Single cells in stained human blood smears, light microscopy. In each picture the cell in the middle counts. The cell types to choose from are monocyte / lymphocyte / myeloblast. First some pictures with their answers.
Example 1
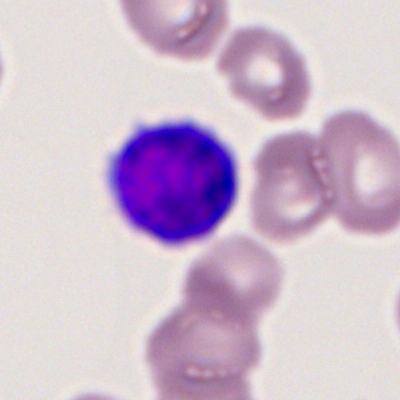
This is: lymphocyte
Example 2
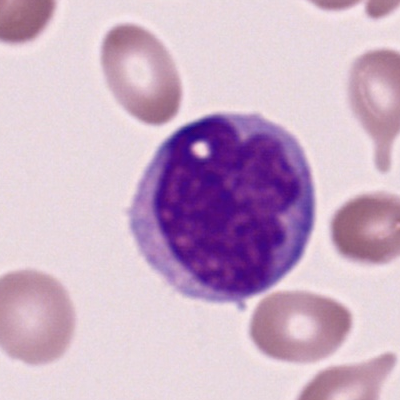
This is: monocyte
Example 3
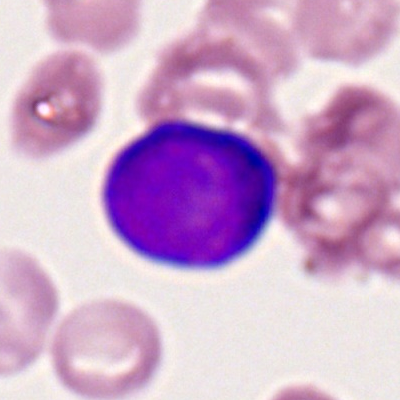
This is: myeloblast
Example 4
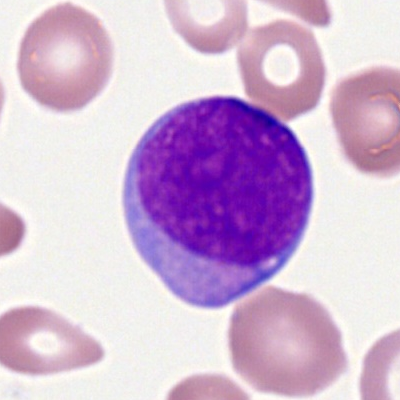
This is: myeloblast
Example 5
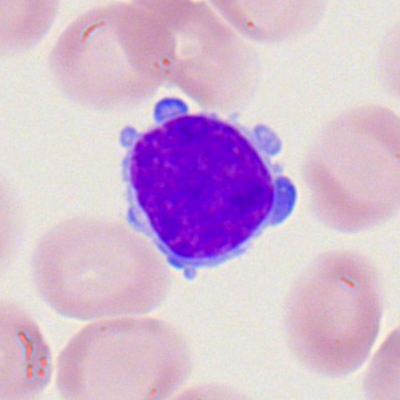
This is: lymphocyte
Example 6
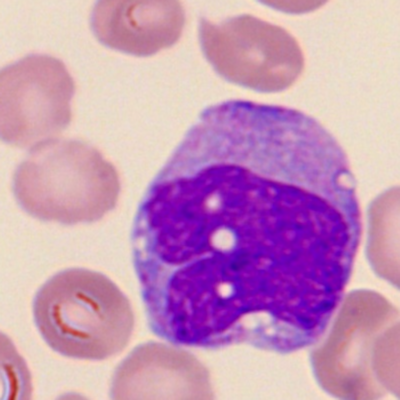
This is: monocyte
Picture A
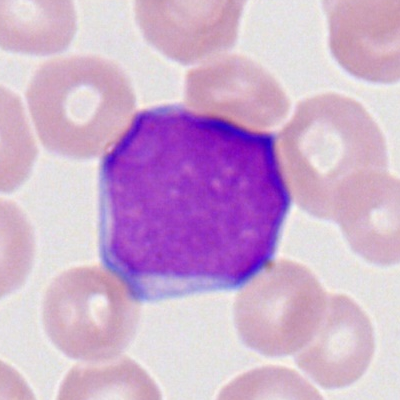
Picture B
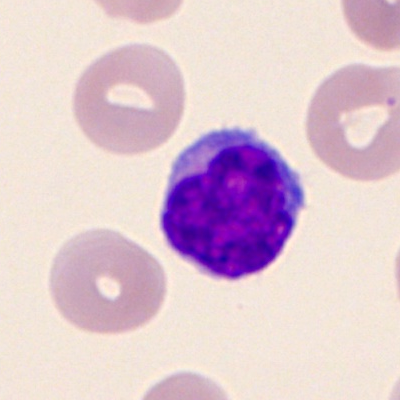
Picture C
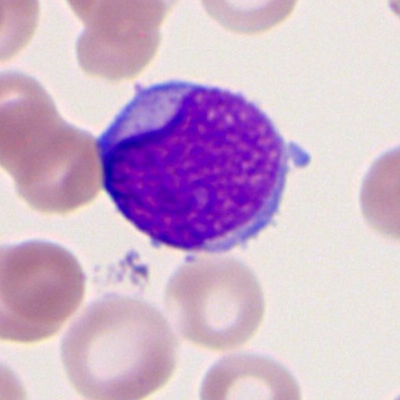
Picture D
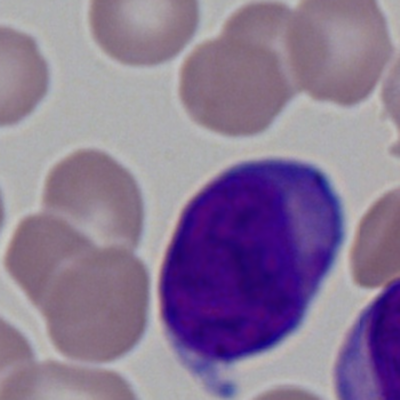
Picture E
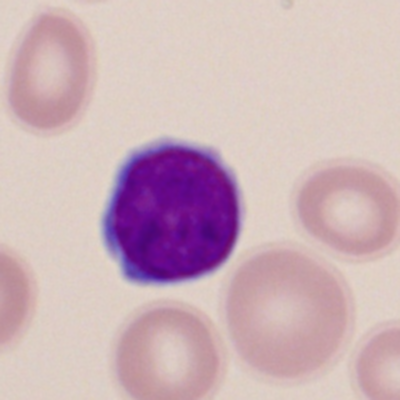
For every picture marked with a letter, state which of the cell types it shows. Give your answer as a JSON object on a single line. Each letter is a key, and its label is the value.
{"A": "myeloblast", "B": "lymphocyte", "C": "myeloblast", "D": "myeloblast", "E": "lymphocyte"}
